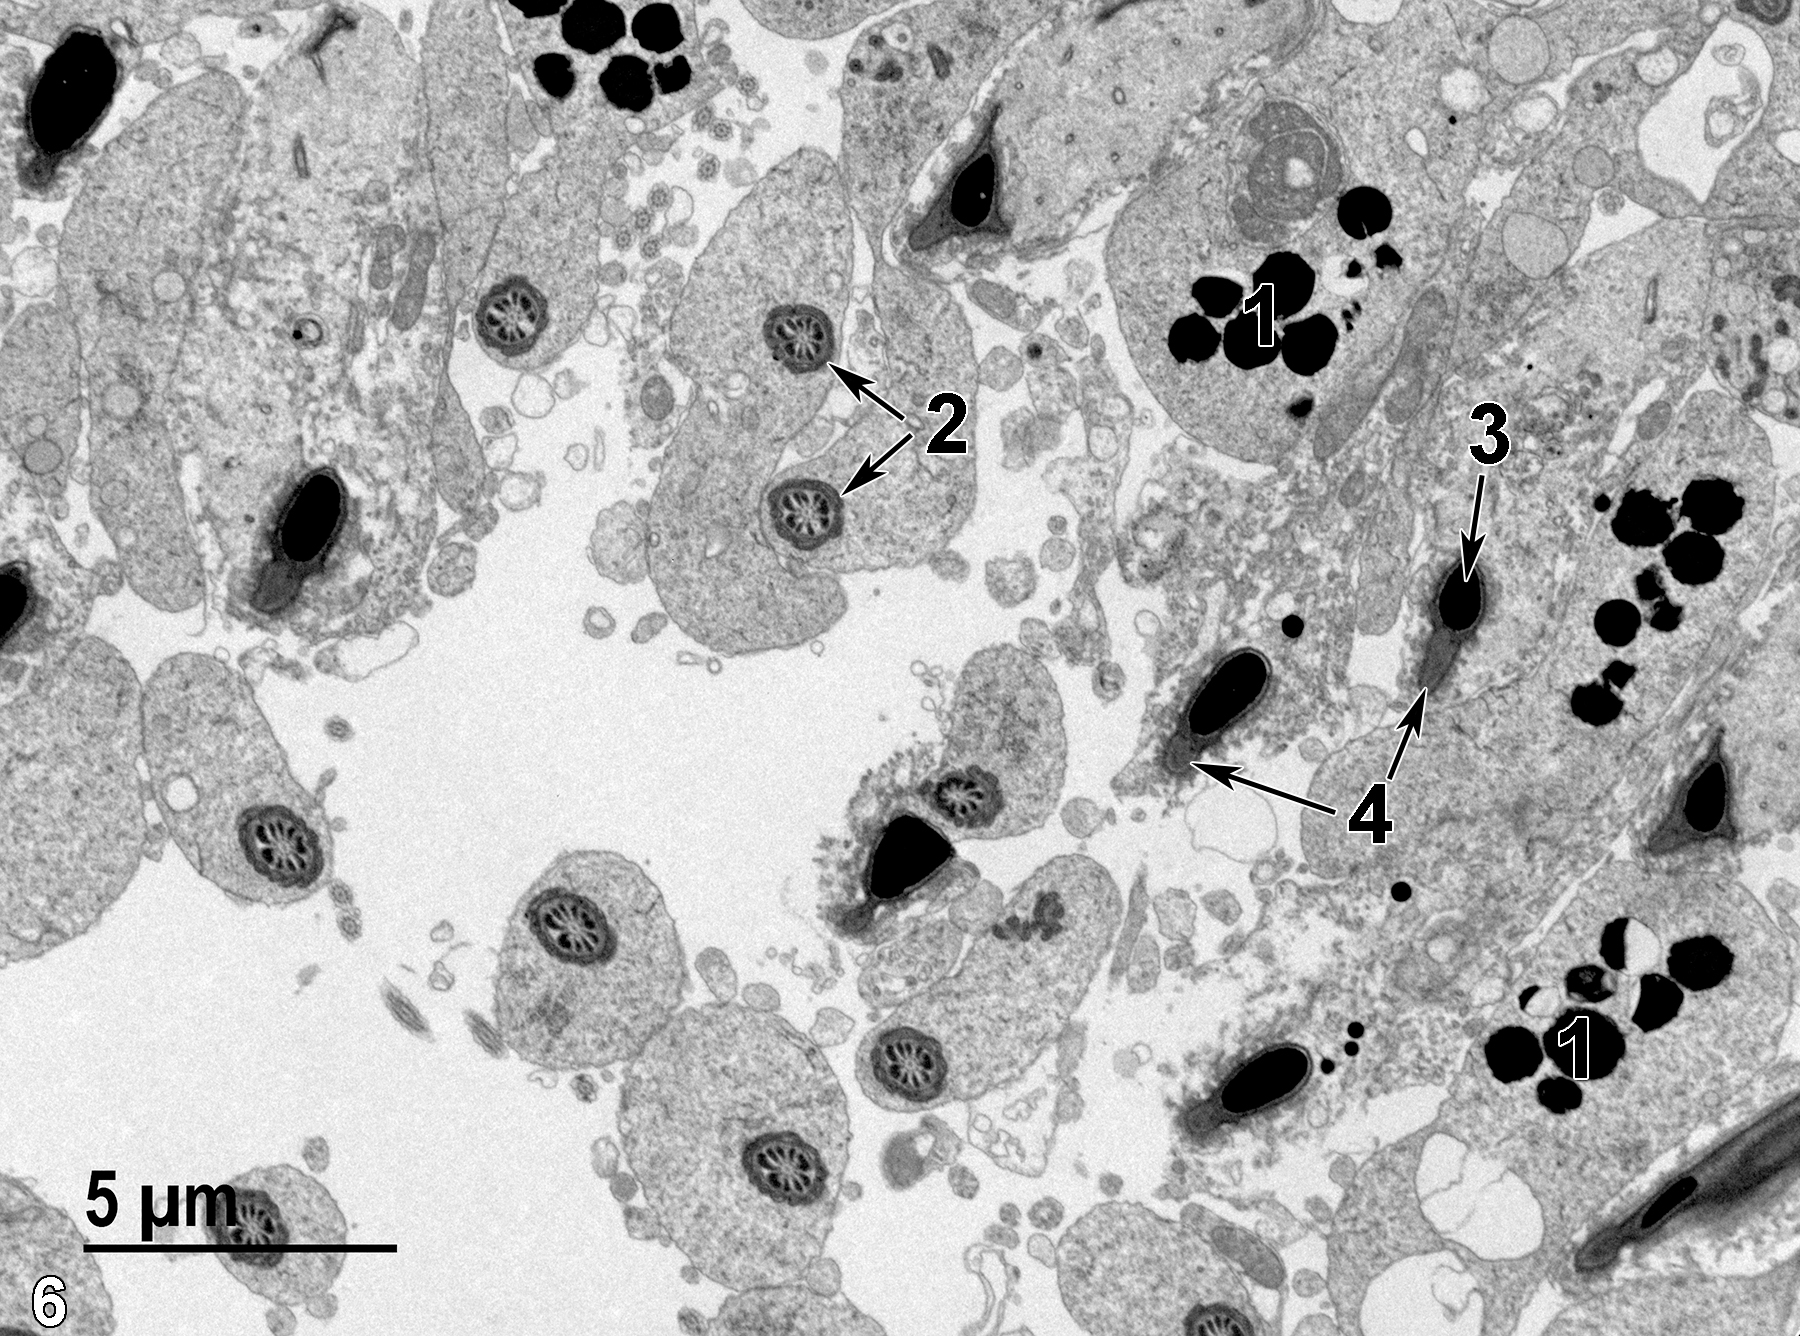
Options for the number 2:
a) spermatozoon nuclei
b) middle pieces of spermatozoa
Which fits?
b) middle pieces of spermatozoa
